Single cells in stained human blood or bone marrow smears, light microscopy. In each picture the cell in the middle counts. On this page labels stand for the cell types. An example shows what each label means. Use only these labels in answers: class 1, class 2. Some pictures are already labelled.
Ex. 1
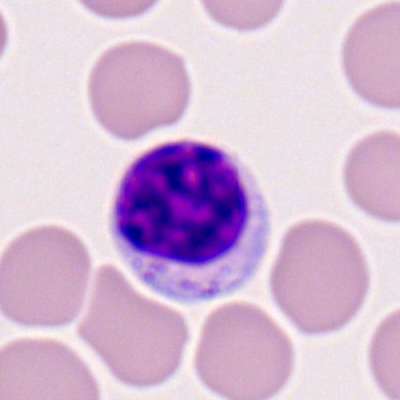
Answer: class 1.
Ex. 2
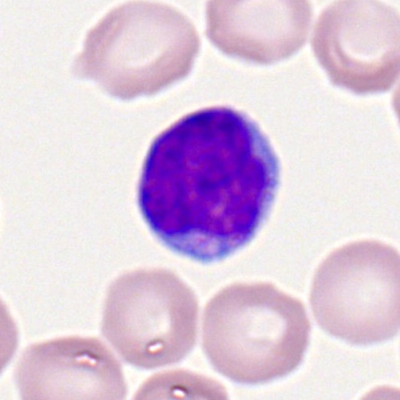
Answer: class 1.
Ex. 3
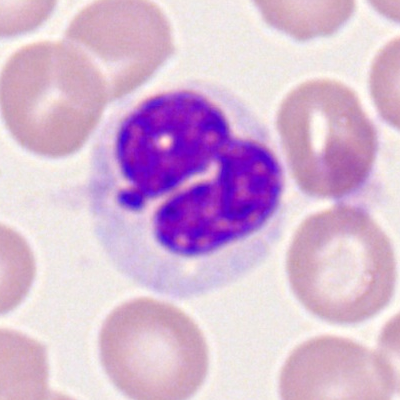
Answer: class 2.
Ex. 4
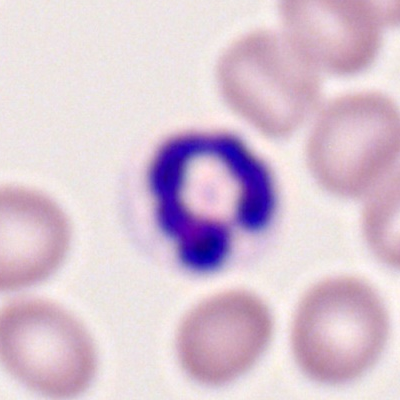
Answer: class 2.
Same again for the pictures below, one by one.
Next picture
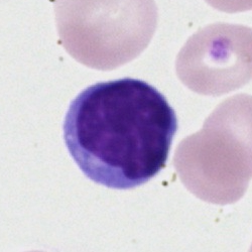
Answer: class 1.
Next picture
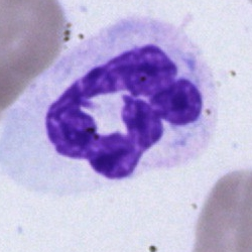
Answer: class 2.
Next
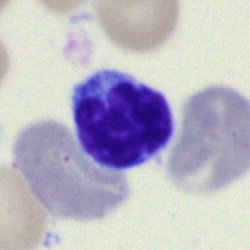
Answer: class 1.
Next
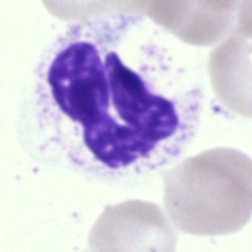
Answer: class 2.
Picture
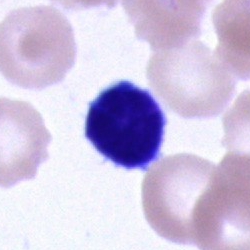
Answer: class 1.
